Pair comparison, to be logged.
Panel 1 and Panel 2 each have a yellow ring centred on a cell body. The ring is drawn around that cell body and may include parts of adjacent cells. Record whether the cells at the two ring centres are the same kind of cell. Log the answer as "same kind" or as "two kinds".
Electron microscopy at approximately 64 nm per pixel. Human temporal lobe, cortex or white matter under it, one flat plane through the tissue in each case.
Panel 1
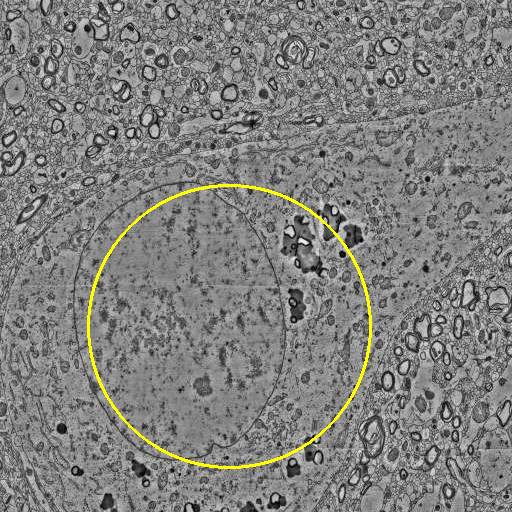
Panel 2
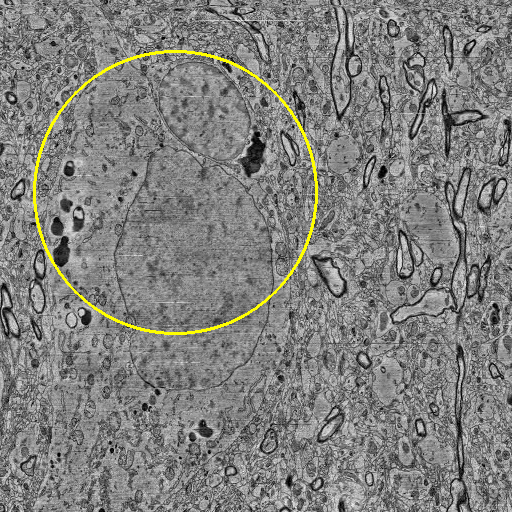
same kind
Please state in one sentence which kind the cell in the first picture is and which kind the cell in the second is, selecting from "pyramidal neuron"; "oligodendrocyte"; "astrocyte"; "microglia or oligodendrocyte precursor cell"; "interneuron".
Each one of the two ringed cells is a pyramidal neuron.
